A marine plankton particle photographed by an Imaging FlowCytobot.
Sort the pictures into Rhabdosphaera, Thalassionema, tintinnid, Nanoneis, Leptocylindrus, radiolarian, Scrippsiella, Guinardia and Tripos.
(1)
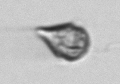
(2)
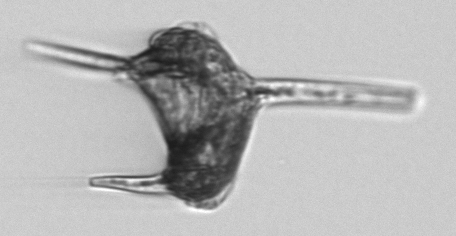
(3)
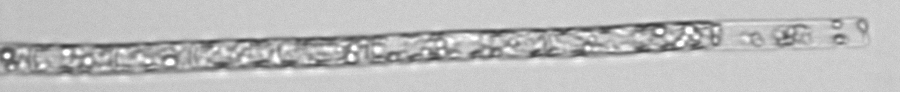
Scrippsiella: 1
Tripos: 2
Leptocylindrus: 3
